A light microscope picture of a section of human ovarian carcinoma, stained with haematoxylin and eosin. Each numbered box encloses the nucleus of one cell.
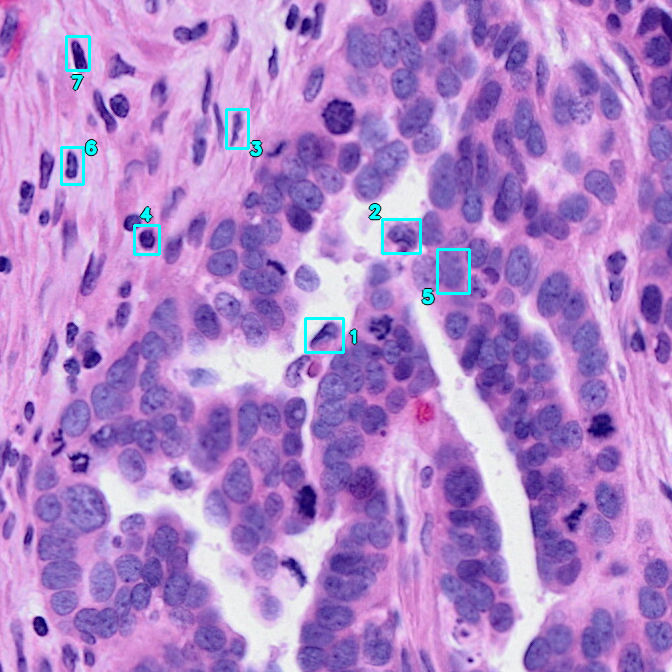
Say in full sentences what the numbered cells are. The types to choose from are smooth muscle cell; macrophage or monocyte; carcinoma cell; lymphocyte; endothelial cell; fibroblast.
Cells 1 and 2 are macrophages or monocytes. Cell 3 is a fibroblast. Cells 4, 6 and 7 are lymphocytes. Cell 5 is a carcinoma cell.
